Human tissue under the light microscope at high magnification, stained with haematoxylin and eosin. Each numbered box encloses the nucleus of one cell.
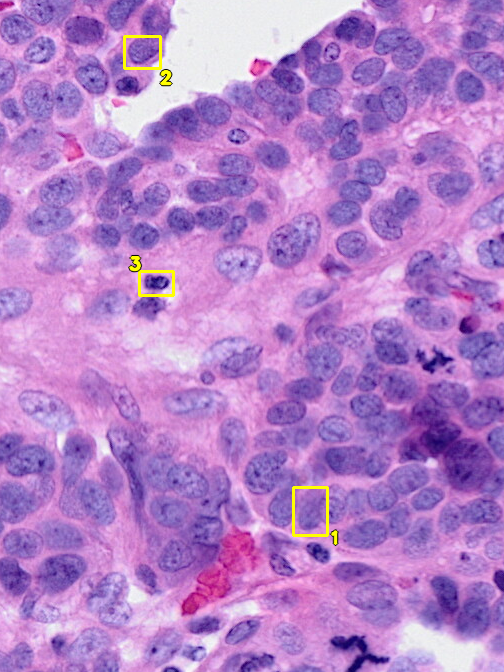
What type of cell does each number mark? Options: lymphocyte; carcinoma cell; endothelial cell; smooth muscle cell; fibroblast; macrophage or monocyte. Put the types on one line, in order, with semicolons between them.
carcinoma cell; carcinoma cell; lymphocyte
